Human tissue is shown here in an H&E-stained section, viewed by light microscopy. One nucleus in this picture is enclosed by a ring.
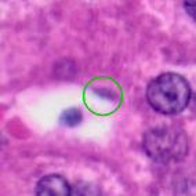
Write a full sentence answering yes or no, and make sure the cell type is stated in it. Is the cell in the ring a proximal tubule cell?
No, on this one the cell in the ring is an endothelial cell, not a proximal tubule cell.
